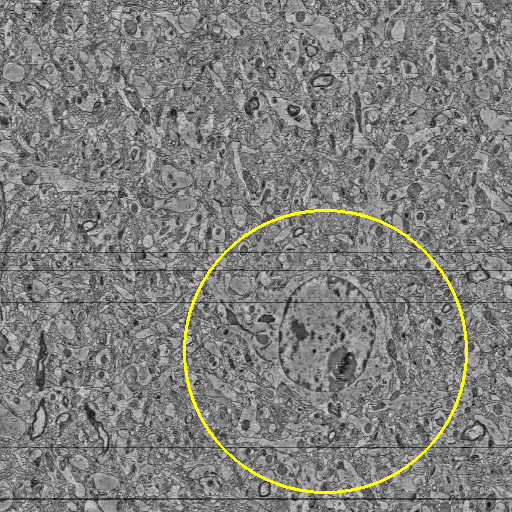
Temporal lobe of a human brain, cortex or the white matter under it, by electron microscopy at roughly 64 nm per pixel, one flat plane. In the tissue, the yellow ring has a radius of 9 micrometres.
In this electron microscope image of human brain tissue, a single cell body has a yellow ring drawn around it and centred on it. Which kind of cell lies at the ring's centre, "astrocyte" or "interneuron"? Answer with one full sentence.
It is an astrocyte whose cell body lies at the centre of the yellow ring here.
